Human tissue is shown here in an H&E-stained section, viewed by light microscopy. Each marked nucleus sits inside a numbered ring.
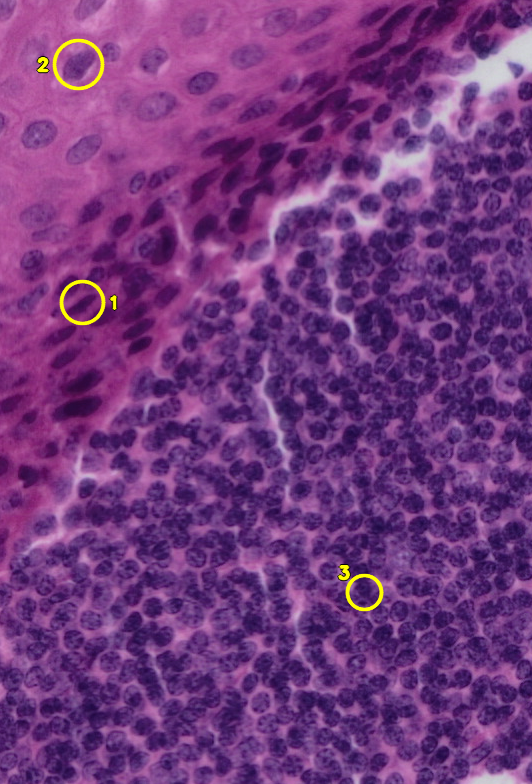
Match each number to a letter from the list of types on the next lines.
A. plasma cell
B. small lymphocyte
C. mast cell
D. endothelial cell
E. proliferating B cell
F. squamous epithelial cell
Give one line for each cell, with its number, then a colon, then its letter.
1: F
2: F
3: B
